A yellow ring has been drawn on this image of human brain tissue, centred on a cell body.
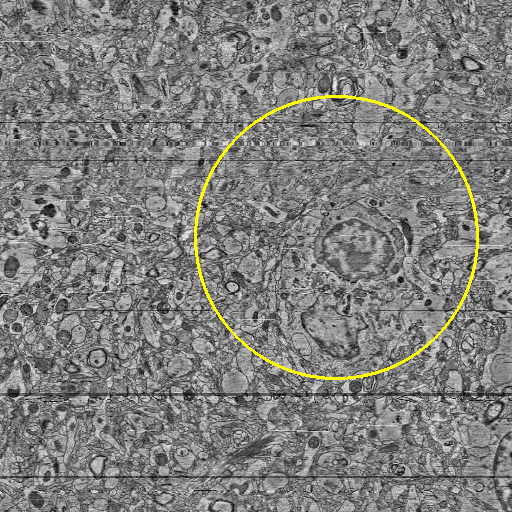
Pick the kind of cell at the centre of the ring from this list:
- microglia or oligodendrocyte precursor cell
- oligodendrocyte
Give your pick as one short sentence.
The centre of the ring holds an oligodendrocyte.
